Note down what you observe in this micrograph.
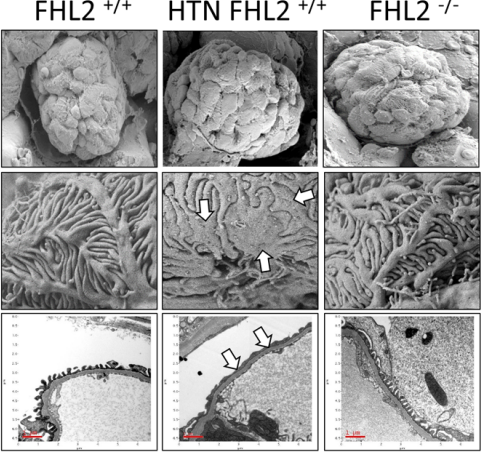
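This grid shows glomeruli of the kidney, with the top row giving whole capillary tufts seen from outside as rounded balls of looped capillaries. The middle row is a closer surface view of the podocytes covering those loops, where the foot processes usually interlock in a fine, regular comb-like pattern. In one column the pattern breaks down, and white arrows point to areas where the processes are broad and flattened into smooth sheets. The bottom row shows thin sections across the capillary wall, where the foot processes mostly sit as a row of small separate bumps on the basement membrane. In the column with the arrows this row is replaced by a continuous flat layer of cell.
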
